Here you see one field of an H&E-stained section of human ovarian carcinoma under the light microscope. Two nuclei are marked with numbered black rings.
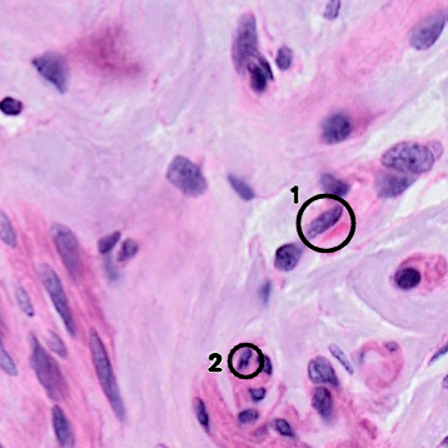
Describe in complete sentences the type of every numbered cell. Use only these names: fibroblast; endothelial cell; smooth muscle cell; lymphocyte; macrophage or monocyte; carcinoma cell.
Cell 1 is an endothelial cell. Cell 2 is a smooth muscle cell.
